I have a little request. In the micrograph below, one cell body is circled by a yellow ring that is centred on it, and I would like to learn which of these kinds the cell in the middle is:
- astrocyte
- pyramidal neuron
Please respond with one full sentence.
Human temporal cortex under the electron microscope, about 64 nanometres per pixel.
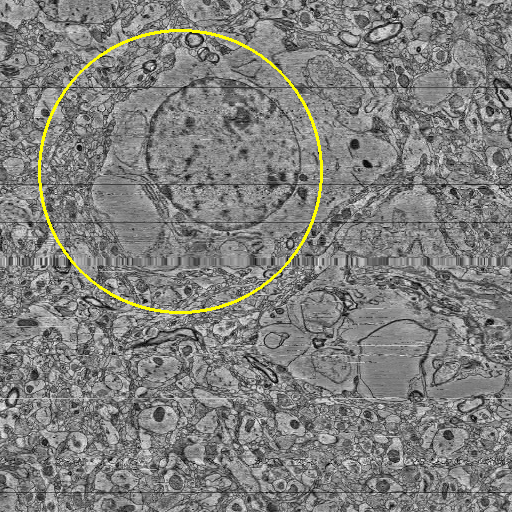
The cell sitting in the middle of the yellow ring in the micrograph is an astrocyte.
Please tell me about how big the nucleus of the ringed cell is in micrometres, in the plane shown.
Roughly 10 micrometres across for the nucleus, in this plane.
